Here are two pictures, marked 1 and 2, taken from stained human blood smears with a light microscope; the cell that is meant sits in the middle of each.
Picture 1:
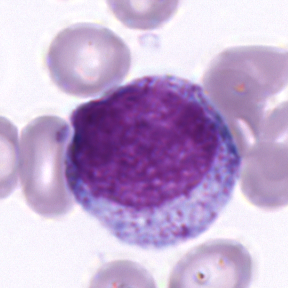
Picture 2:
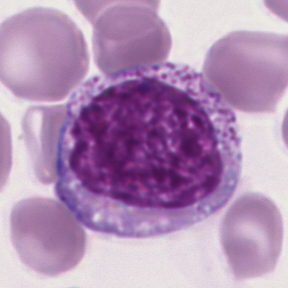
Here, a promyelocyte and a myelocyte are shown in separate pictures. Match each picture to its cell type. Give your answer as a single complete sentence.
Picture 2 shows a myelocyte, while picture 1 shows a promyelocyte.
